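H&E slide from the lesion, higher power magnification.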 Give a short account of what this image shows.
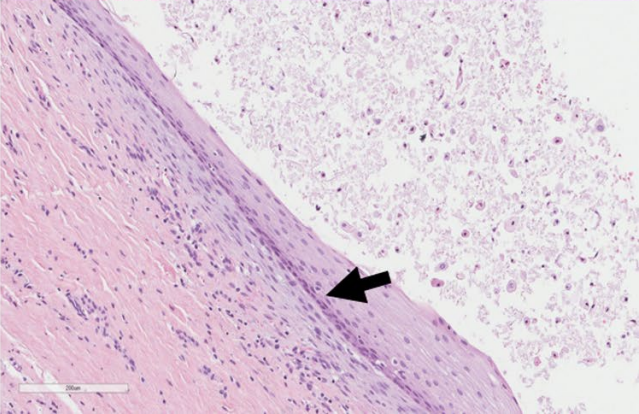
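A cyst wall is lined by squamous epithelium. The lining is several cells thick, and its cells flatten toward the lumen. Beneath it lies pink, fibrous connective tissue with scattered elongated nuclei. The lumen at the upper right holds loose, flaky, pale pink material with scattered cells.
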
